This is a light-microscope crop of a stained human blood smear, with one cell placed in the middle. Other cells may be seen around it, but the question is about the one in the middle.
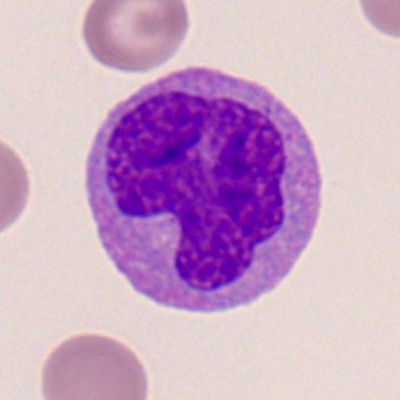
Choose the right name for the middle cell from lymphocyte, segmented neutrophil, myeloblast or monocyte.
monocyte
